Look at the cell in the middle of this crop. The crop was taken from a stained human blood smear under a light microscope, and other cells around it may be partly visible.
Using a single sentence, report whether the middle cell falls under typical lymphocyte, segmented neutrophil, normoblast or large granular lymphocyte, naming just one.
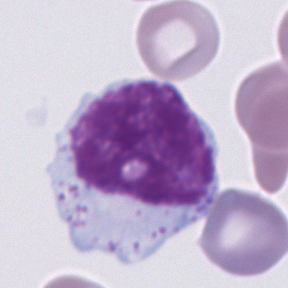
The cell found in the middle of this crop is a large granular lymphocyte.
